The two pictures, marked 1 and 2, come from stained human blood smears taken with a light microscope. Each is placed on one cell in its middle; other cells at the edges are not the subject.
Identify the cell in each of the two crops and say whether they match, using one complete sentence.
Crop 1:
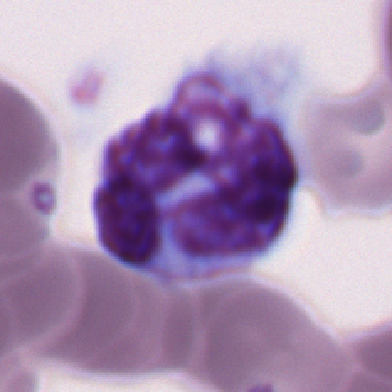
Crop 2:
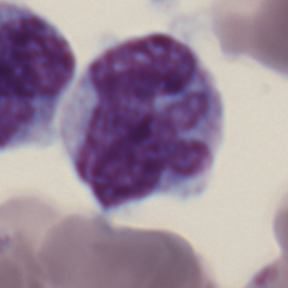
Yes, both crops show monocytes in the middle.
